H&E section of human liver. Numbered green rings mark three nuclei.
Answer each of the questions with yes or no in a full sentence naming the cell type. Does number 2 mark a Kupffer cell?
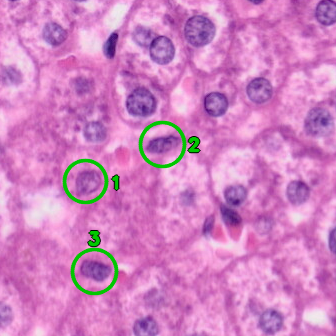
Yes, the marked cell with number 2 is a Kupffer cell.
